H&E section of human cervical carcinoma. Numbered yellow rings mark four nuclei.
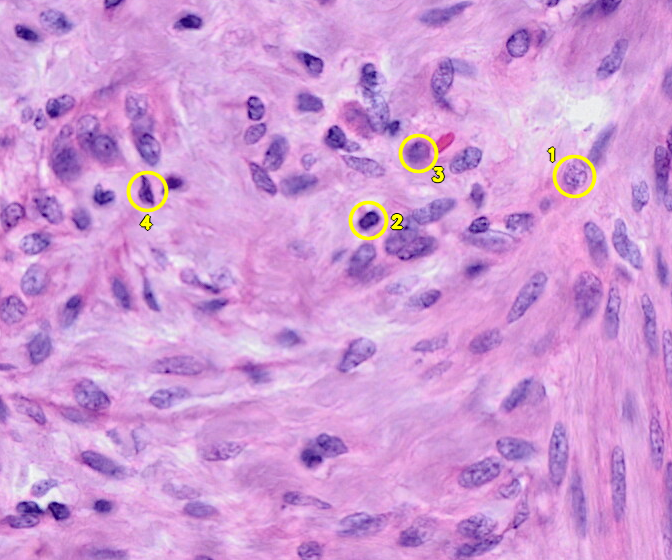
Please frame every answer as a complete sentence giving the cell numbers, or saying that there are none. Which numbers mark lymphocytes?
The cells numbered 2 and 4 are, by type, lymphocytes.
